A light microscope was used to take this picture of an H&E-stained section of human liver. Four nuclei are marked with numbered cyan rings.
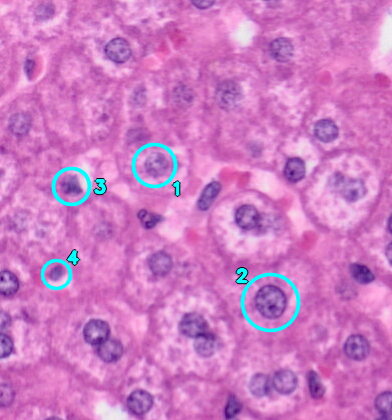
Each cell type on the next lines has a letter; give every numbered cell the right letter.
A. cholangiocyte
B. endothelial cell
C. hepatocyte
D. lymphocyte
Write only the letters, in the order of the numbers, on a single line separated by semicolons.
C; C; B; D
